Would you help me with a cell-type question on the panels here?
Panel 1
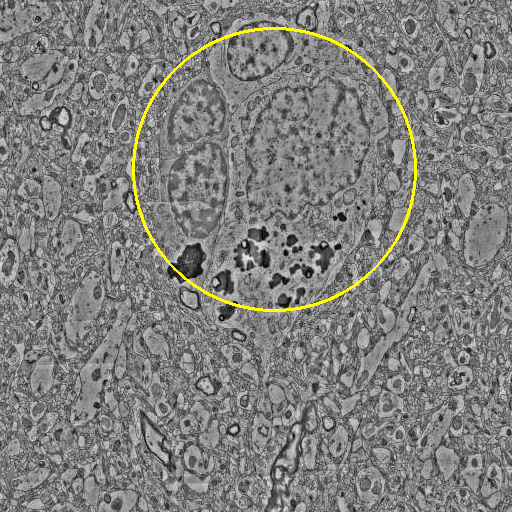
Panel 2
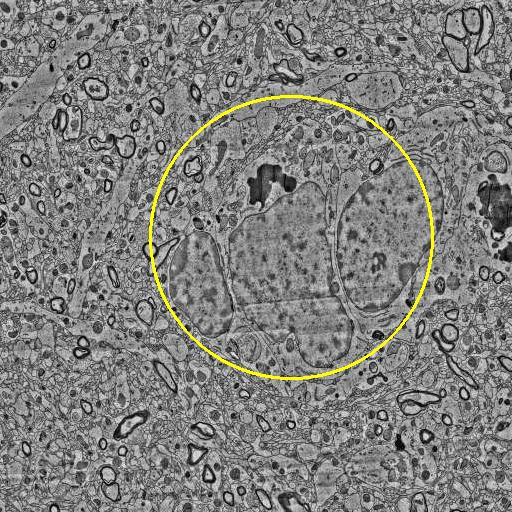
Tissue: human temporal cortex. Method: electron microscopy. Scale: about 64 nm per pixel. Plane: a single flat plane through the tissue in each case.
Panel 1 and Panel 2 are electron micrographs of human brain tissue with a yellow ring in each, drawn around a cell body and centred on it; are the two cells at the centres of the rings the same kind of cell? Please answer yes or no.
yes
